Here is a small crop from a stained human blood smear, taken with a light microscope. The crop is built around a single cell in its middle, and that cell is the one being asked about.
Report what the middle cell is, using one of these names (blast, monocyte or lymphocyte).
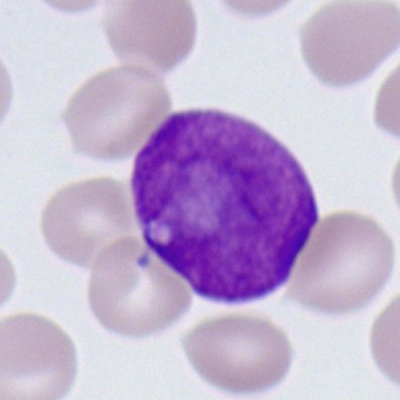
blast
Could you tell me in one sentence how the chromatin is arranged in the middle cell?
The chromatin is fine; coarse clumps are not a feature here.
